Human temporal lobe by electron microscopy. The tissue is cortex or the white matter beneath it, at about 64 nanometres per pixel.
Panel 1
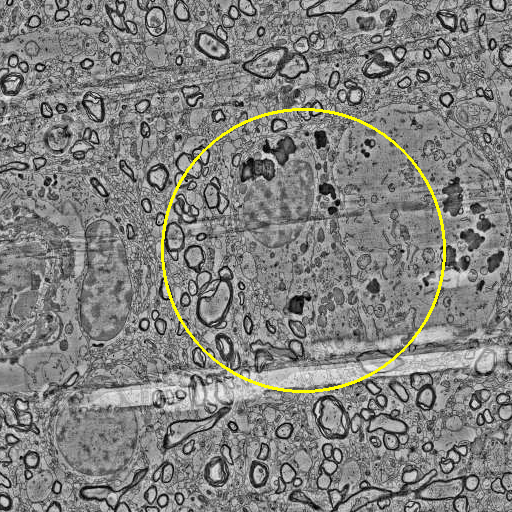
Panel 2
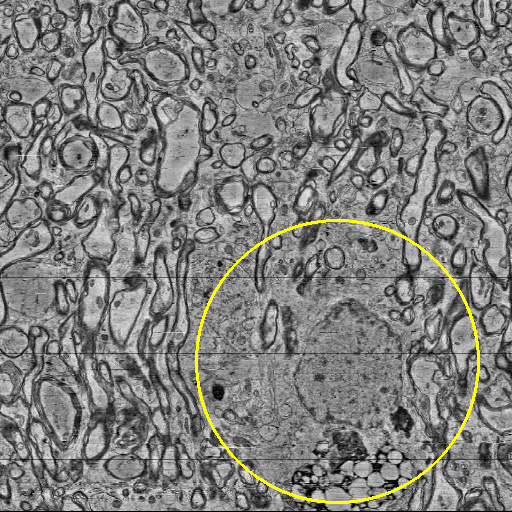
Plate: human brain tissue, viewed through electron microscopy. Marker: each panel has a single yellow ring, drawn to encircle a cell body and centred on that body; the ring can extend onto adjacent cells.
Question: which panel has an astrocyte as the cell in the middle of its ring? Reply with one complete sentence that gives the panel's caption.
Panel 2 is where the requested cell sits at the centre of the ring.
